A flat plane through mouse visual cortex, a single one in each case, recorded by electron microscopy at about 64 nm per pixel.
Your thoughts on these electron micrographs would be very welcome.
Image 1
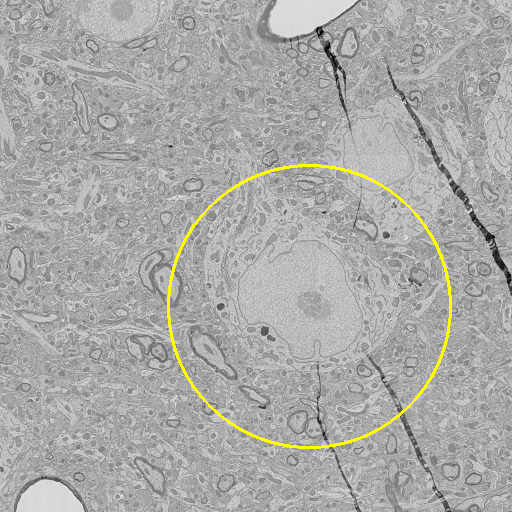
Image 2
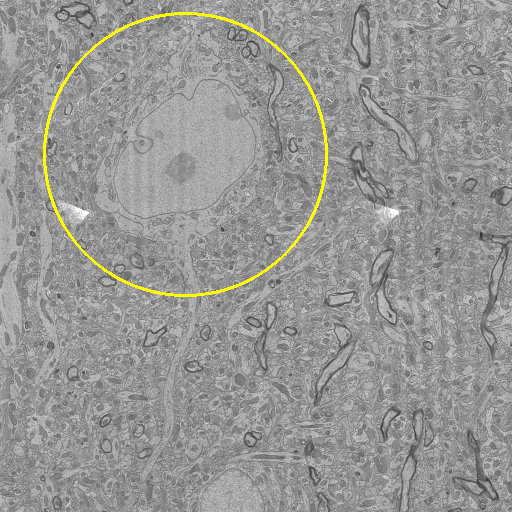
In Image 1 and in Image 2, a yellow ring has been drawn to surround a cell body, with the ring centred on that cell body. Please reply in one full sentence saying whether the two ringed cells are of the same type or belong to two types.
The ringed cells in Image 1 and Image 2 belong to two types.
